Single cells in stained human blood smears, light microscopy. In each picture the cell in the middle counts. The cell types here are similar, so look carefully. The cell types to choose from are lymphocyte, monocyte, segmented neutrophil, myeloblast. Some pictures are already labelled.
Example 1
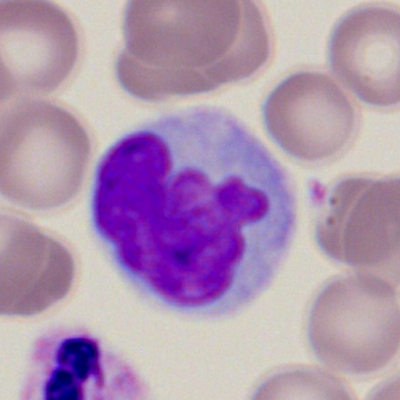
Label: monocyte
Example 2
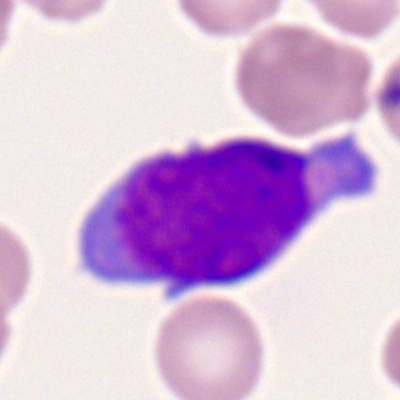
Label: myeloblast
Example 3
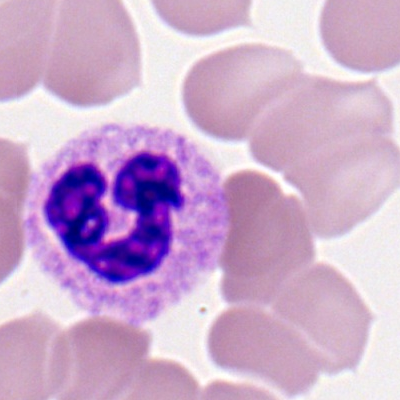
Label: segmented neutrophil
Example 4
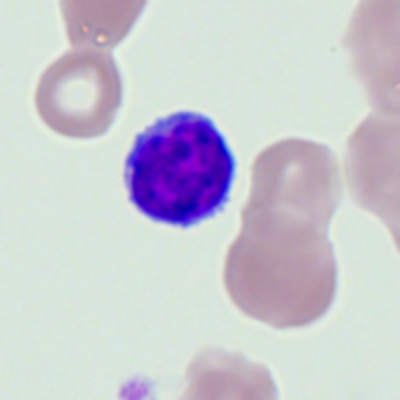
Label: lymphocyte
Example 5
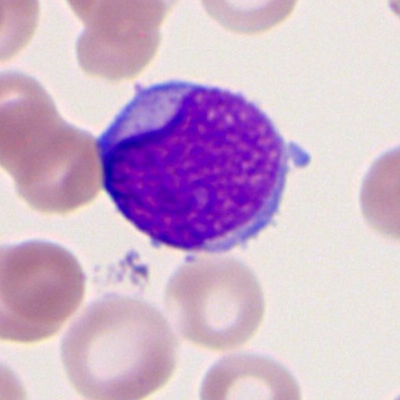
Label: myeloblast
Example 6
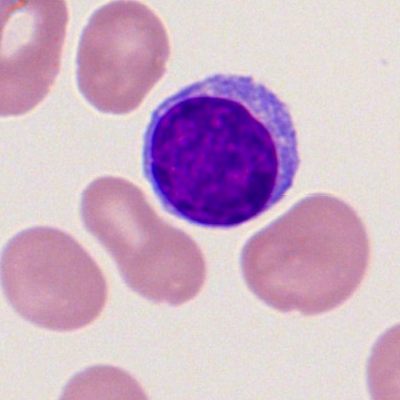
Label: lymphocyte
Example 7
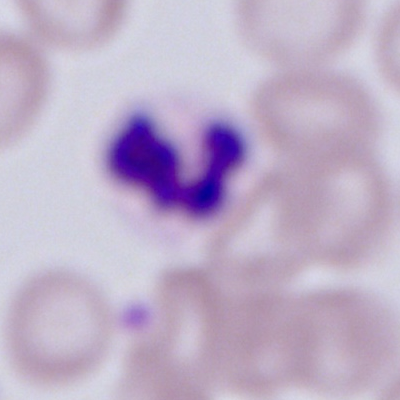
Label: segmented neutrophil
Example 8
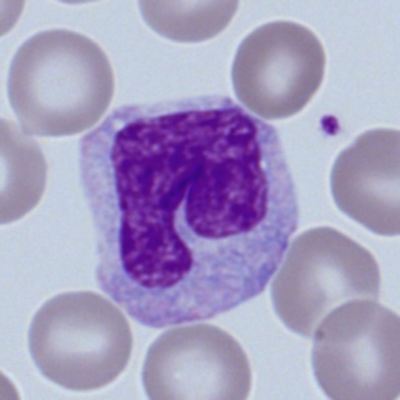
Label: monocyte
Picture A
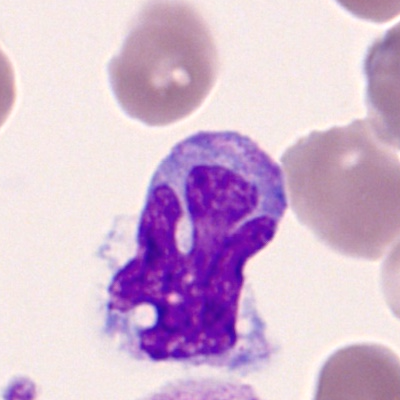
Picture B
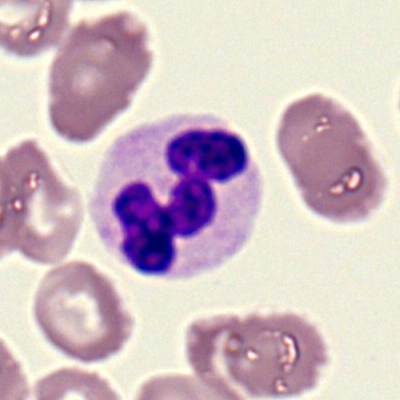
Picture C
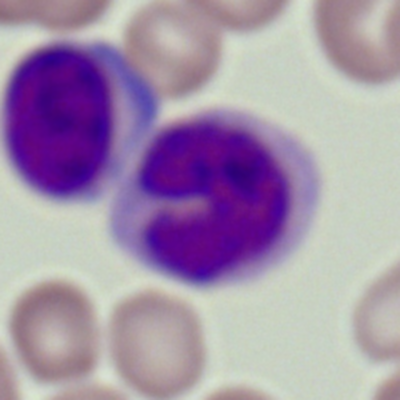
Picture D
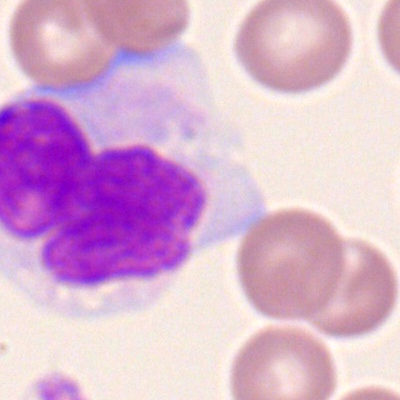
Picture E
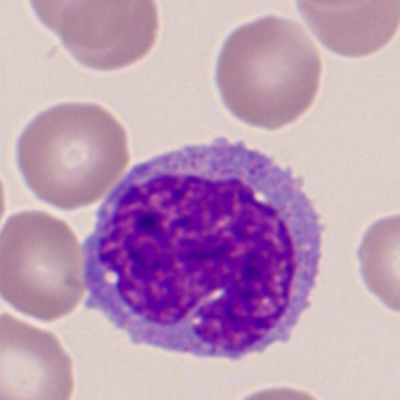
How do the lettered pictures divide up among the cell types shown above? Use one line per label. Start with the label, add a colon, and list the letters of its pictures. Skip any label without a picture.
monocyte: A, C, D, E
segmented neutrophil: B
